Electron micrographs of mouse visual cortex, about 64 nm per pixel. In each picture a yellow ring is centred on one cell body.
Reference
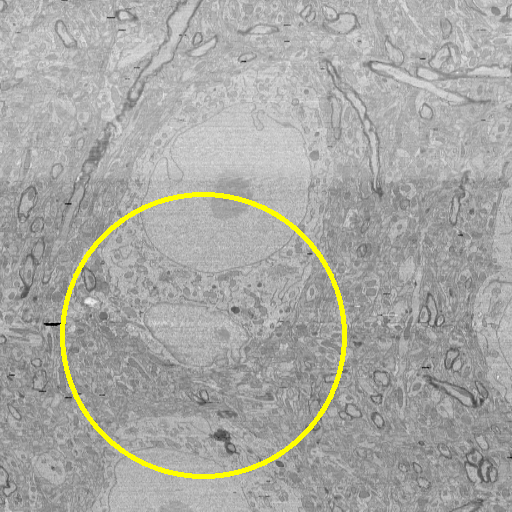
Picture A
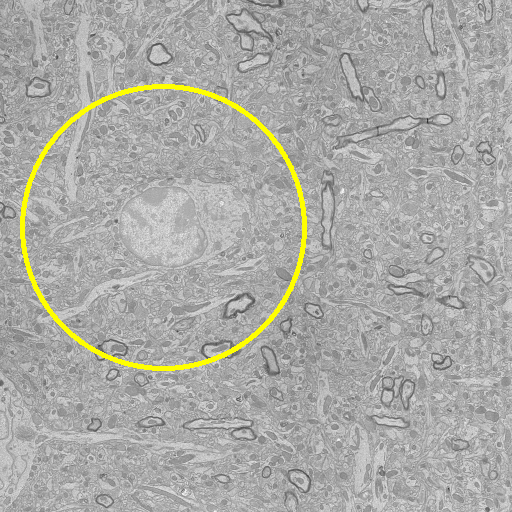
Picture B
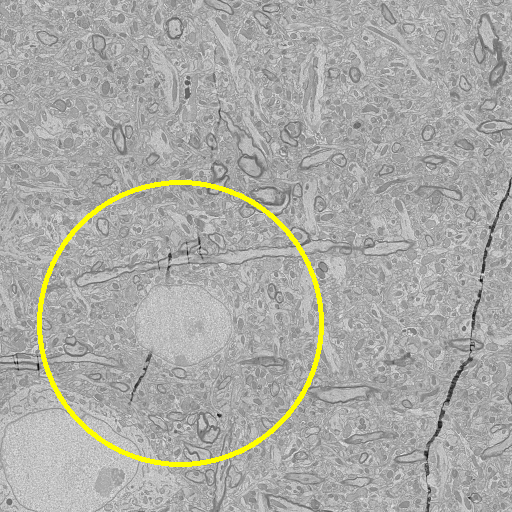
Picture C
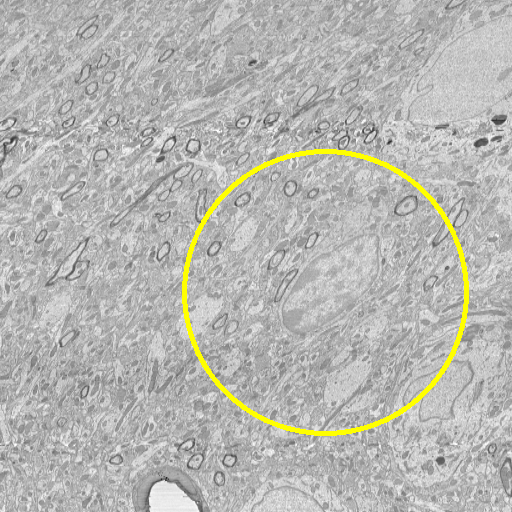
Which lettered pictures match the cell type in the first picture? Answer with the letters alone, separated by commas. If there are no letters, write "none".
B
